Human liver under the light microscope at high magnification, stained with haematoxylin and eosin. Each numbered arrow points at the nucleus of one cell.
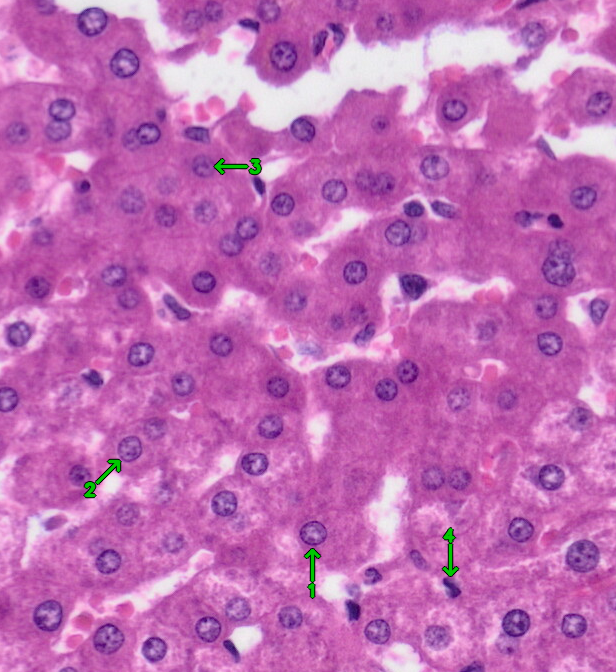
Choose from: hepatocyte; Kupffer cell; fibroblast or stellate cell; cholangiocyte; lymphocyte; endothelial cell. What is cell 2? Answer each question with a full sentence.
The cell marked with number 2 is a hepatocyte.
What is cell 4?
In this section, the cell tagged 4 is an endothelial cell.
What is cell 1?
Heads up, the cell numbered 1 is a hepatocyte.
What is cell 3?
Looking at the numbered marks, cell 3 is a hepatocyte.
